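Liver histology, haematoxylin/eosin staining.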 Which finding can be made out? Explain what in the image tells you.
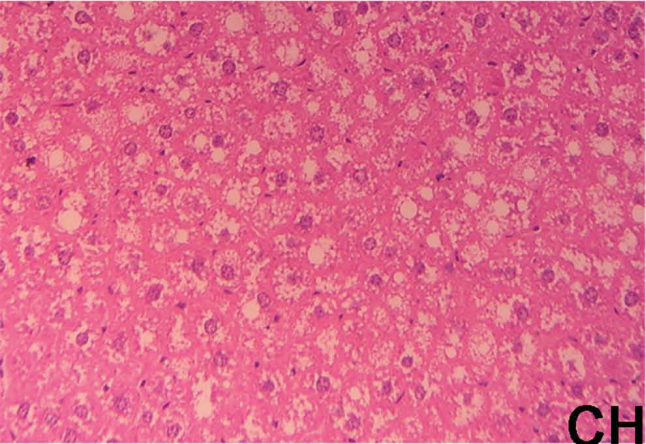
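Many round clear spaces of varying size lie within the pink cytoplasm of the cells. Some clear spaces are larger than the nuclei.
Hence: Numerous vacuoles.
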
